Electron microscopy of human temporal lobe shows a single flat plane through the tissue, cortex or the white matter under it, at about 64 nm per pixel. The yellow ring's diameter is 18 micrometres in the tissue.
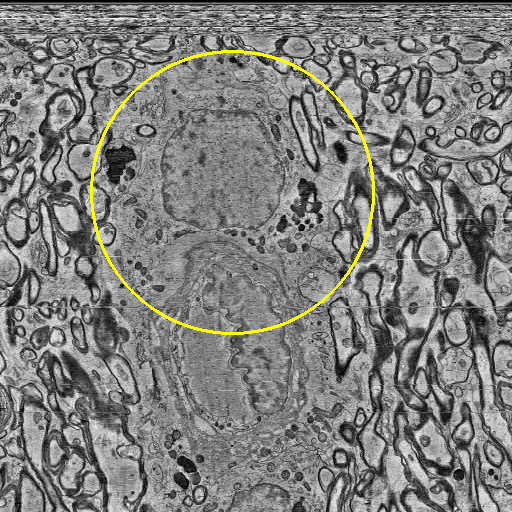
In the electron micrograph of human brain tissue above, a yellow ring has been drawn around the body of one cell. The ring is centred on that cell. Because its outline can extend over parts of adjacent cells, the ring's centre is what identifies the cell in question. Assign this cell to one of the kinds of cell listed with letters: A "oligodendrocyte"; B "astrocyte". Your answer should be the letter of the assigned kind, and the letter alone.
B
